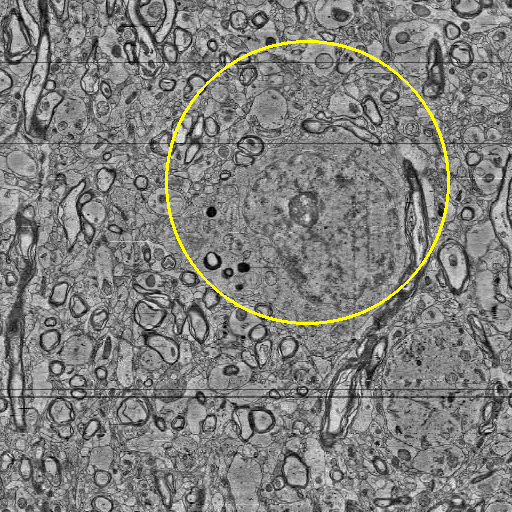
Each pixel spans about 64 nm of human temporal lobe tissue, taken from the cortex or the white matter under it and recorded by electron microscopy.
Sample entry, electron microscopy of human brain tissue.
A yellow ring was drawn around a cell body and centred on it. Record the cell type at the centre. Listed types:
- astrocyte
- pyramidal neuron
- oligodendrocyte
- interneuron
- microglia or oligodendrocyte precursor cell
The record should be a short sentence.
The cell at the ring's centre is an interneuron.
